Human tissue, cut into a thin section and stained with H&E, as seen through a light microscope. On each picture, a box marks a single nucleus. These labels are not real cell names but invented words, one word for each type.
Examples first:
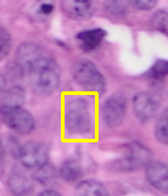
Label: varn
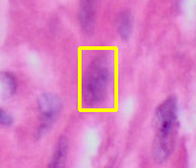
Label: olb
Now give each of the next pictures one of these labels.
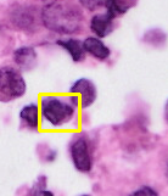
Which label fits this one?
varn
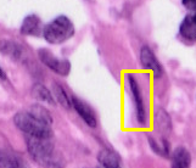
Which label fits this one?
olb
